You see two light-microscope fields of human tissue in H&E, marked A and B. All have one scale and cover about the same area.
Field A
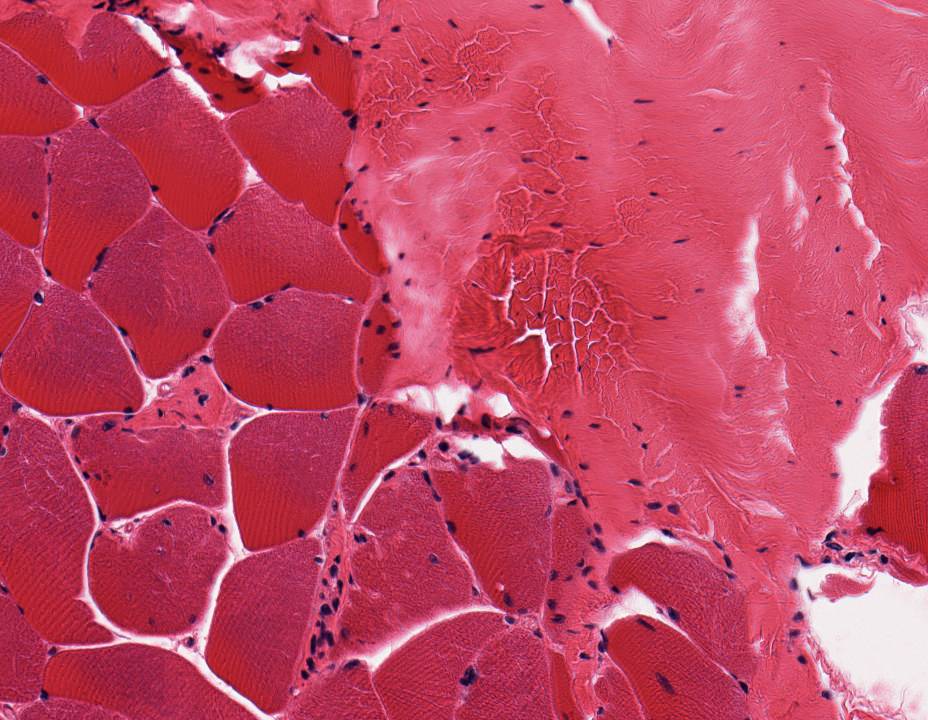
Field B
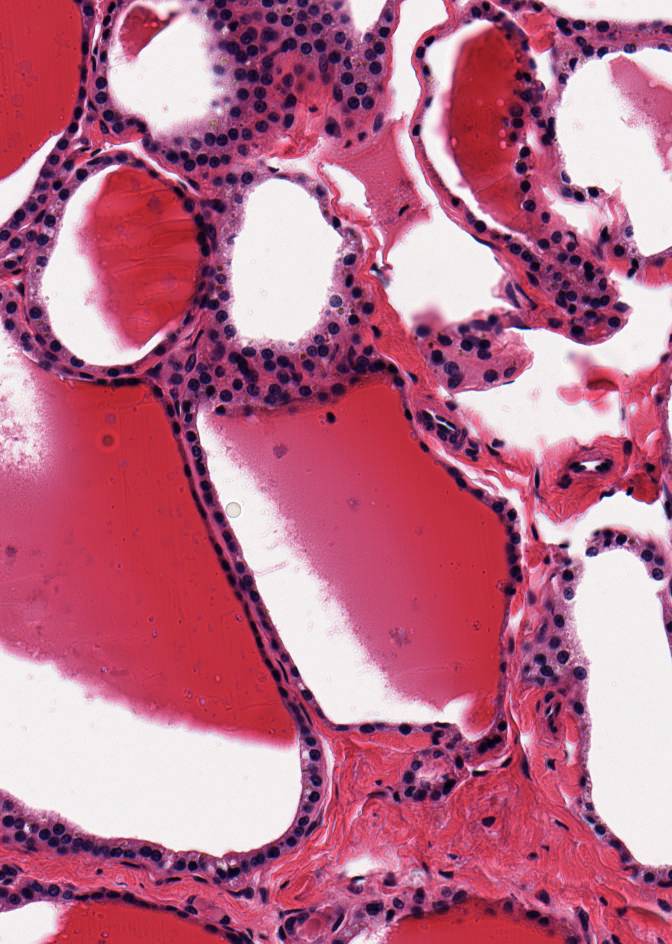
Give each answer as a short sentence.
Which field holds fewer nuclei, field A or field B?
Fewer nuclei lie in field A than in field B.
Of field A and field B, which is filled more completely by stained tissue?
Unstained space takes up less of field A than of field B.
